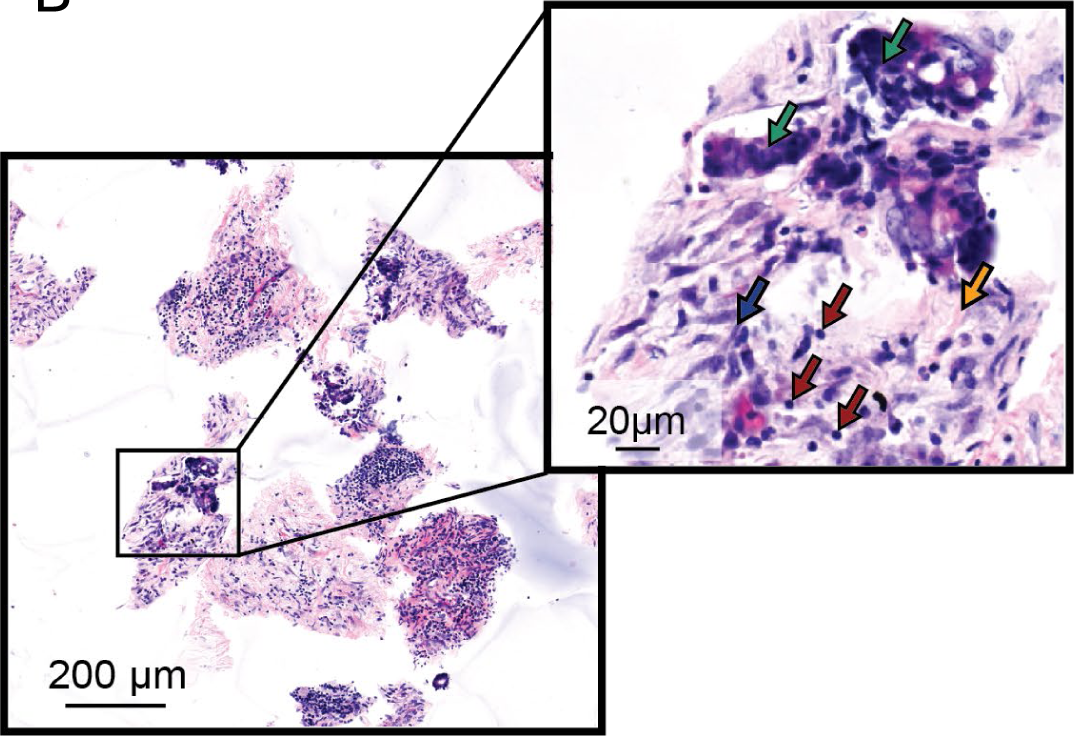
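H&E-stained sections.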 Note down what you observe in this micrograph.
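At higher magnification, tumor cells form dense, deeply purple clusters with large crowded nuclei. Around them lies loose pink collagenous stroma holding spindle-shaped fibroblasts.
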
